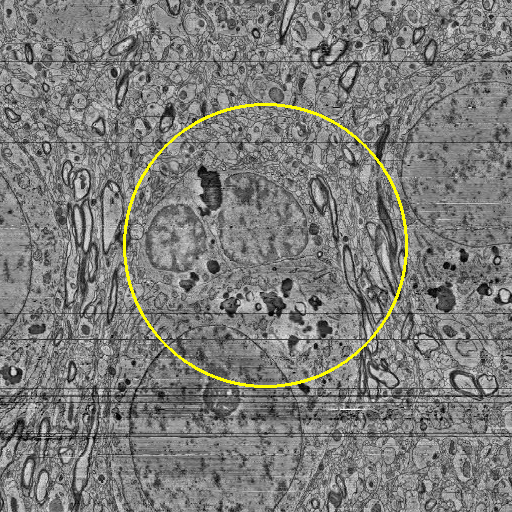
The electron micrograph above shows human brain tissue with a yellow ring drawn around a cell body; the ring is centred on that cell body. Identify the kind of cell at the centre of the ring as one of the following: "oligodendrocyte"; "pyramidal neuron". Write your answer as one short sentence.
The cell at the centre of the ring is an oligodendrocyte.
